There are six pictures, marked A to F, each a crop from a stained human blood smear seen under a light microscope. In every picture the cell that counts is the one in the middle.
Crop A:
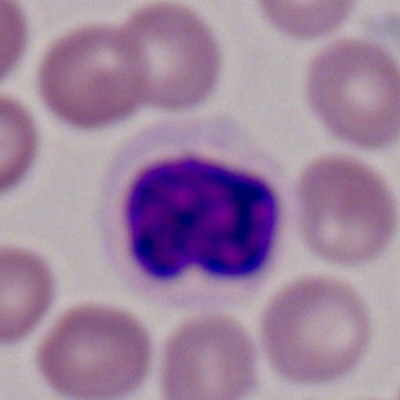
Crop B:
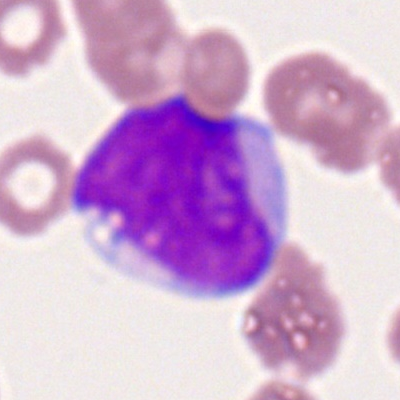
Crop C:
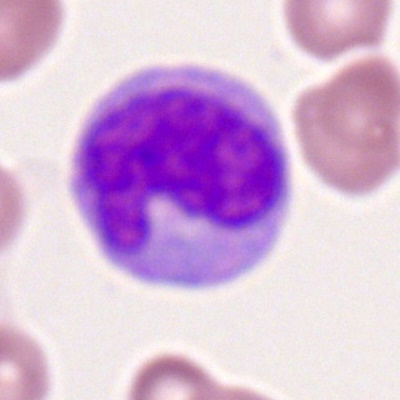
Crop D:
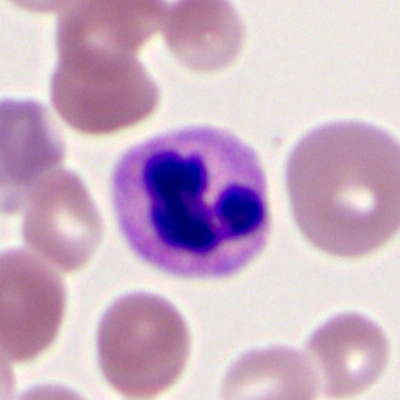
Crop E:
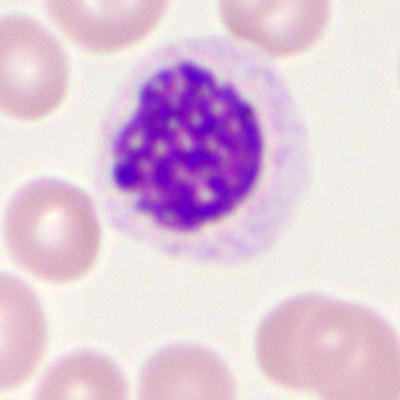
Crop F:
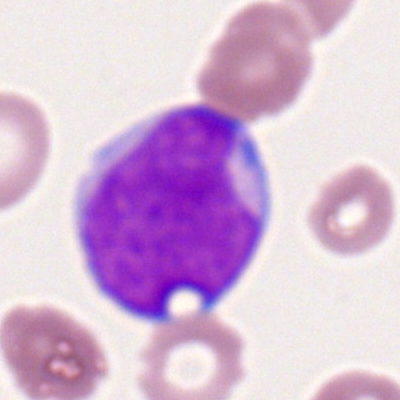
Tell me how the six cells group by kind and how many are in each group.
segmented neutrophil: 3
myeloblast: 2
monocyte: 1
